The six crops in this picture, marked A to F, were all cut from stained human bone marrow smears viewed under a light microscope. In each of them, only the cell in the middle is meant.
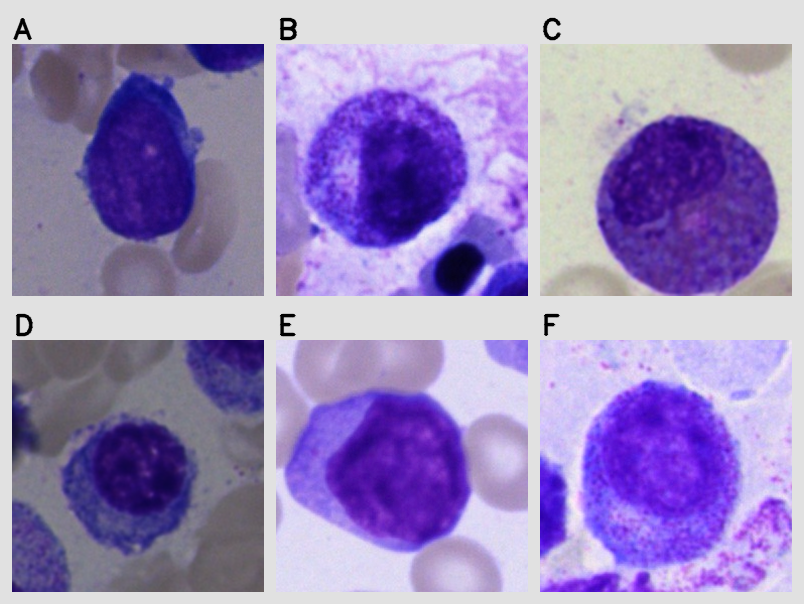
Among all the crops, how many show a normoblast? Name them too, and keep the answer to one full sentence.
The count is zero, since none of the crops contains normoblasts.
